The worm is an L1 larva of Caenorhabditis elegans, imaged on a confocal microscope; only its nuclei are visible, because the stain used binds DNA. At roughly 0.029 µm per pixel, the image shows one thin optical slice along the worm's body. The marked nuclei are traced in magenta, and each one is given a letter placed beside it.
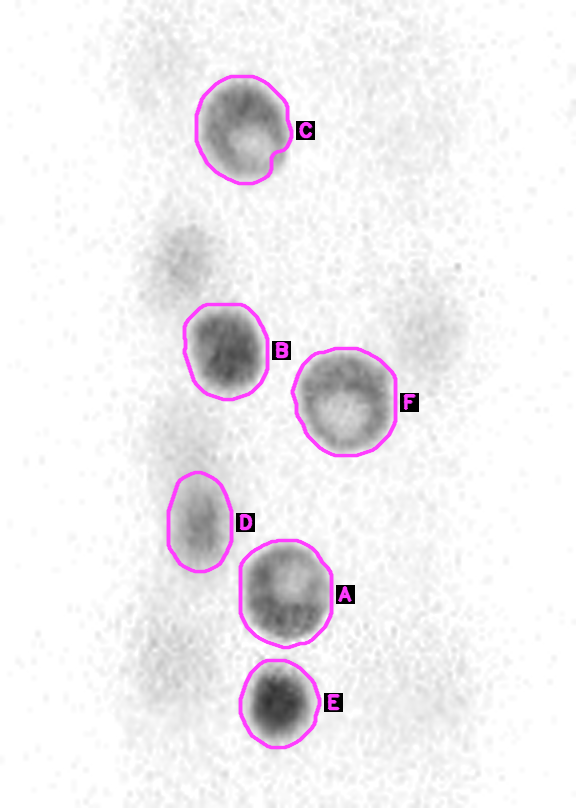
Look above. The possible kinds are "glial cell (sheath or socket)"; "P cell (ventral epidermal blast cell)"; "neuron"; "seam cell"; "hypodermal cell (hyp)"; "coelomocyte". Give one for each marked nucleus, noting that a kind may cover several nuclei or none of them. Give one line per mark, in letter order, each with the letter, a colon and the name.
A: seam cell
B: P cell (ventral epidermal blast cell)
C: seam cell
D: coelomocyte
E: neuron
F: hypodermal cell (hyp)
